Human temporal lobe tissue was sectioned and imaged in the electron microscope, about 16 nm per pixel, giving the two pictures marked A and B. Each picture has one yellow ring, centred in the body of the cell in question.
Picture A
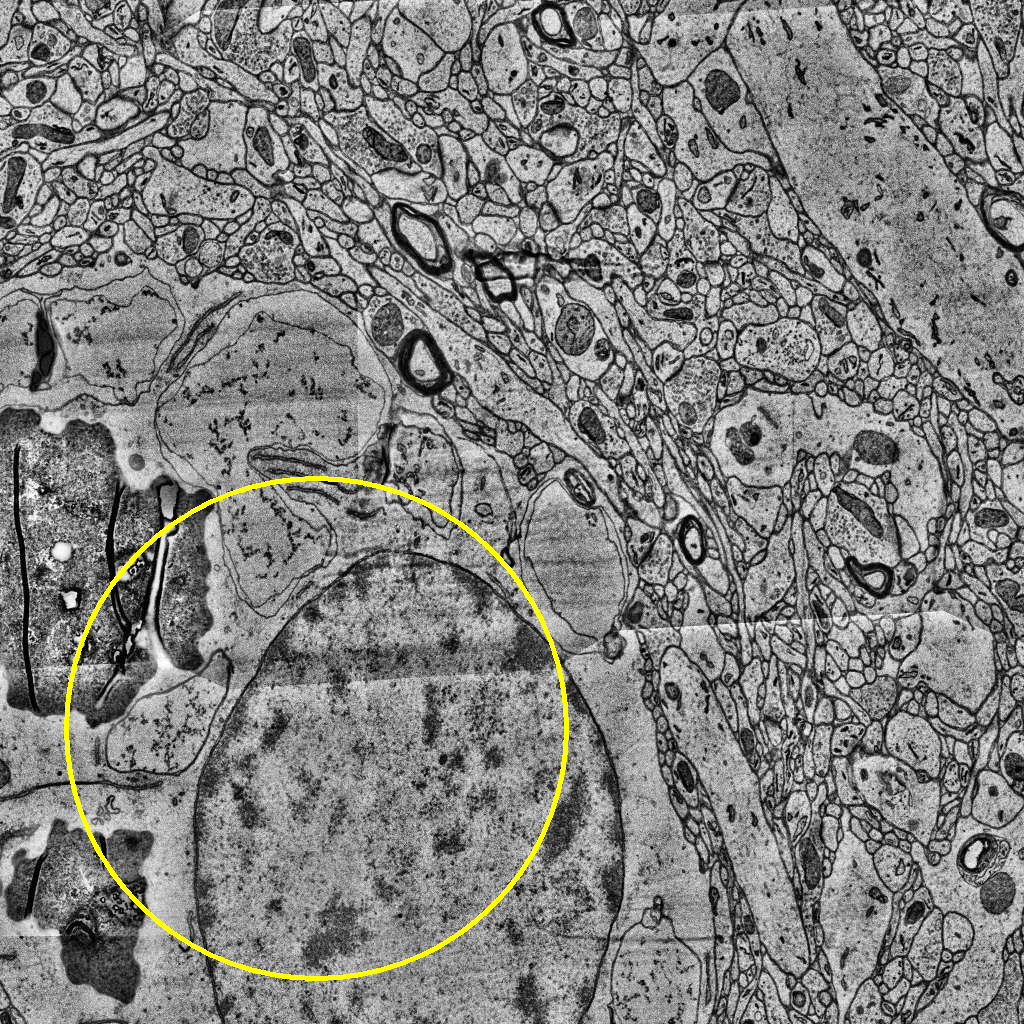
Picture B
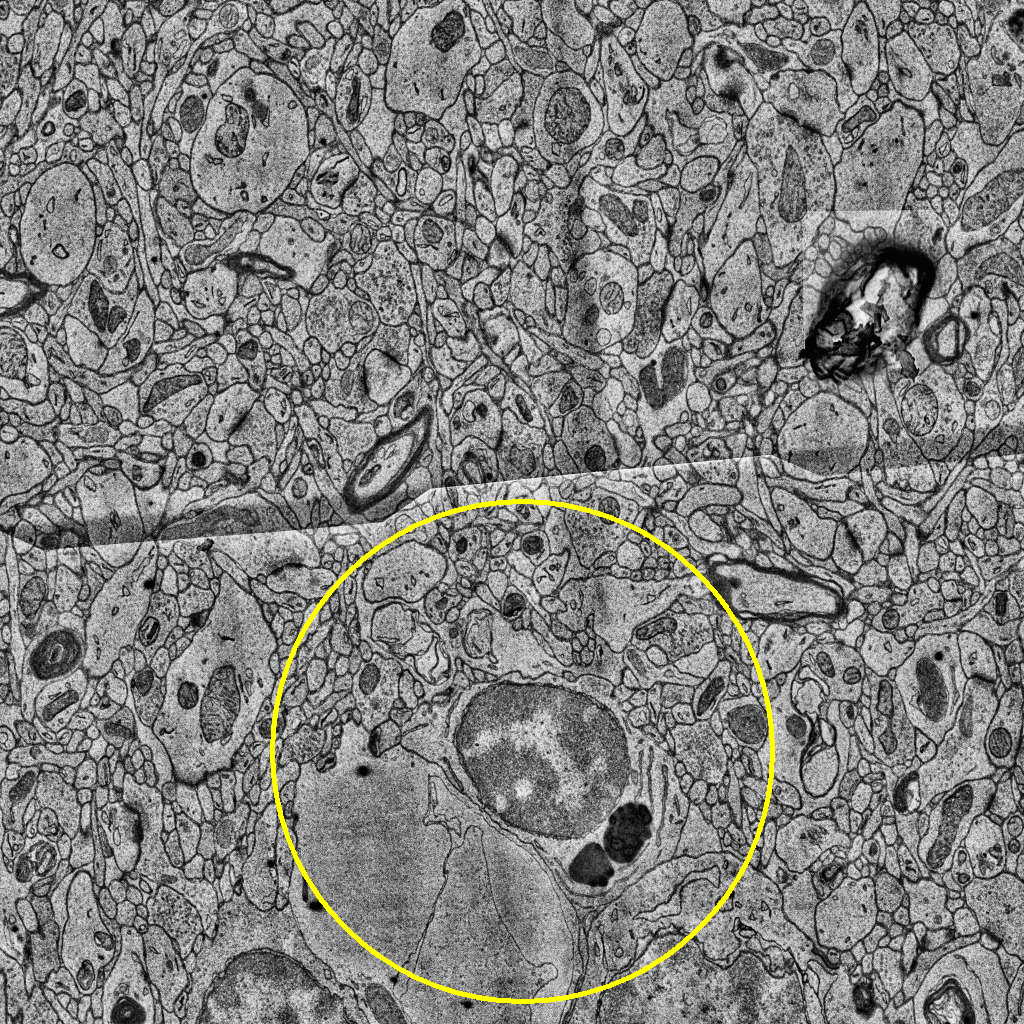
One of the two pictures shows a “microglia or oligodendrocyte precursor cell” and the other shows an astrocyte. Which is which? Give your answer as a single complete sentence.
Picture A is of an astrocyte, and picture B is of a “microglia or oligodendrocyte precursor cell”.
